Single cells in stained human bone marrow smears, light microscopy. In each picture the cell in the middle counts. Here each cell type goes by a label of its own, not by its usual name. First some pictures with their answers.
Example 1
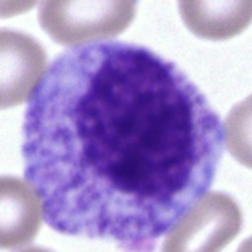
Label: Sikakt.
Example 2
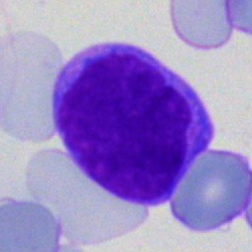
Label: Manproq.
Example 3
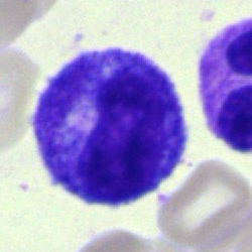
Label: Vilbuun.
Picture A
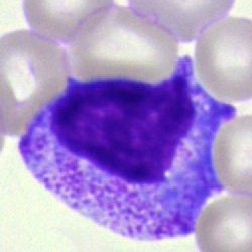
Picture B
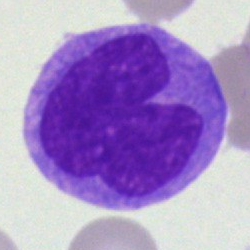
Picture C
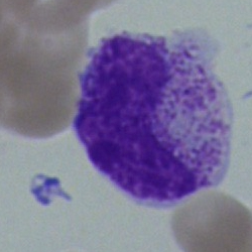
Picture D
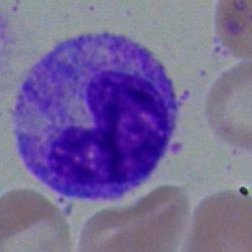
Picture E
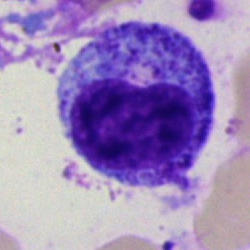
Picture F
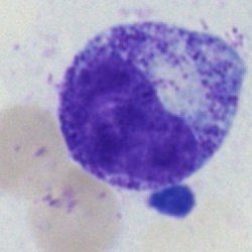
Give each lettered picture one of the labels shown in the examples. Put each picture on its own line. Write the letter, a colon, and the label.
A: Sikakt.
B: Manproq.
C: Vilbuun.
D: Vilbuun.
E: Sikakt.
F: Vilbuun.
